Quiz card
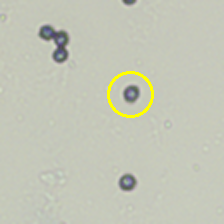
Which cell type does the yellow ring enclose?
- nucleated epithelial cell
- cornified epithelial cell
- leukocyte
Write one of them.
leukocyte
